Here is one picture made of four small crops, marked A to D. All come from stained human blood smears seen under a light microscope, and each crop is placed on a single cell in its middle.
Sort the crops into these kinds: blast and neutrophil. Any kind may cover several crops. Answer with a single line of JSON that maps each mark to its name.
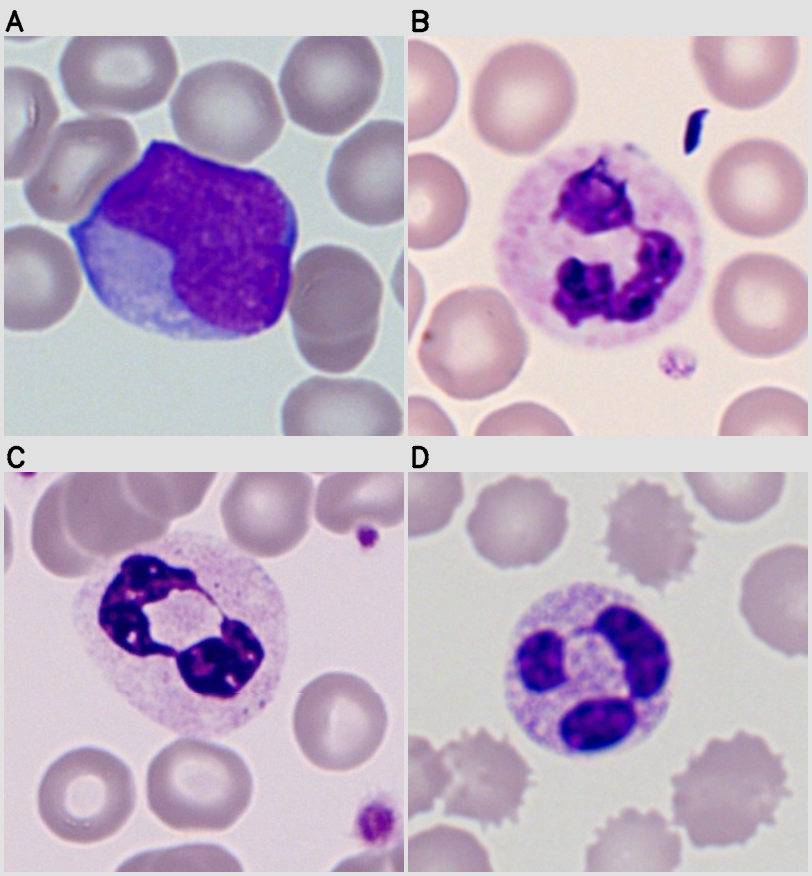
{"A": "blast", "B": "neutrophil", "C": "neutrophil", "D": "neutrophil"}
